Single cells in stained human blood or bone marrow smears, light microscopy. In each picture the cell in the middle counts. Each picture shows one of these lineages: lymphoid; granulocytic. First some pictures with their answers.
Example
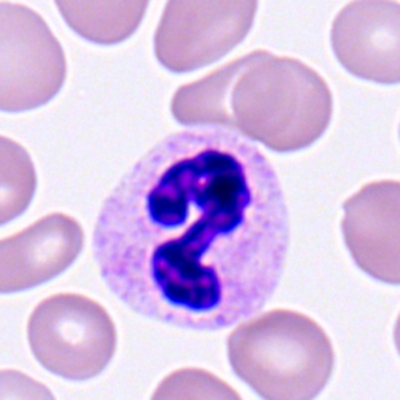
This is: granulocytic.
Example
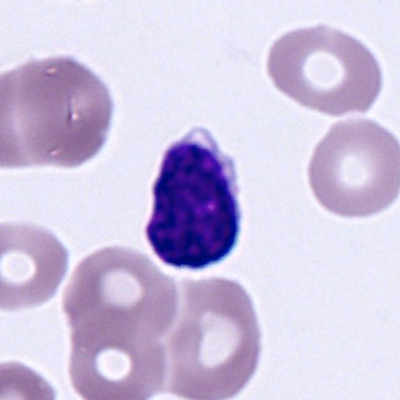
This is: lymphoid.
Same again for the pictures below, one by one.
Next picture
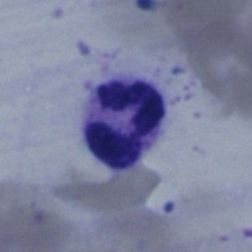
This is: granulocytic.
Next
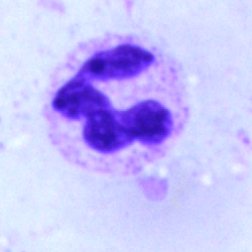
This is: granulocytic.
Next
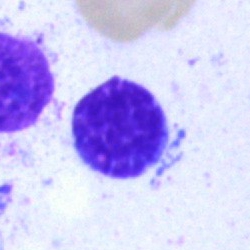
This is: lymphoid.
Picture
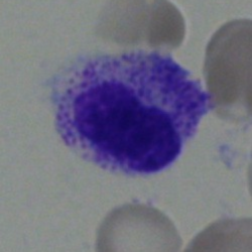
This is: granulocytic.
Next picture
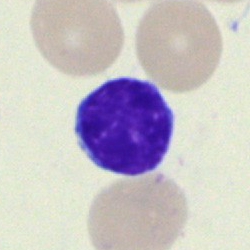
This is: lymphoid.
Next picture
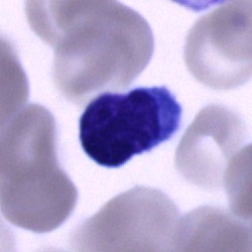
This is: lymphoid.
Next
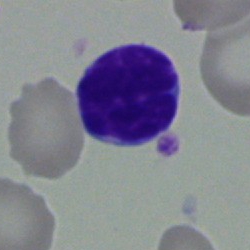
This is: lymphoid.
